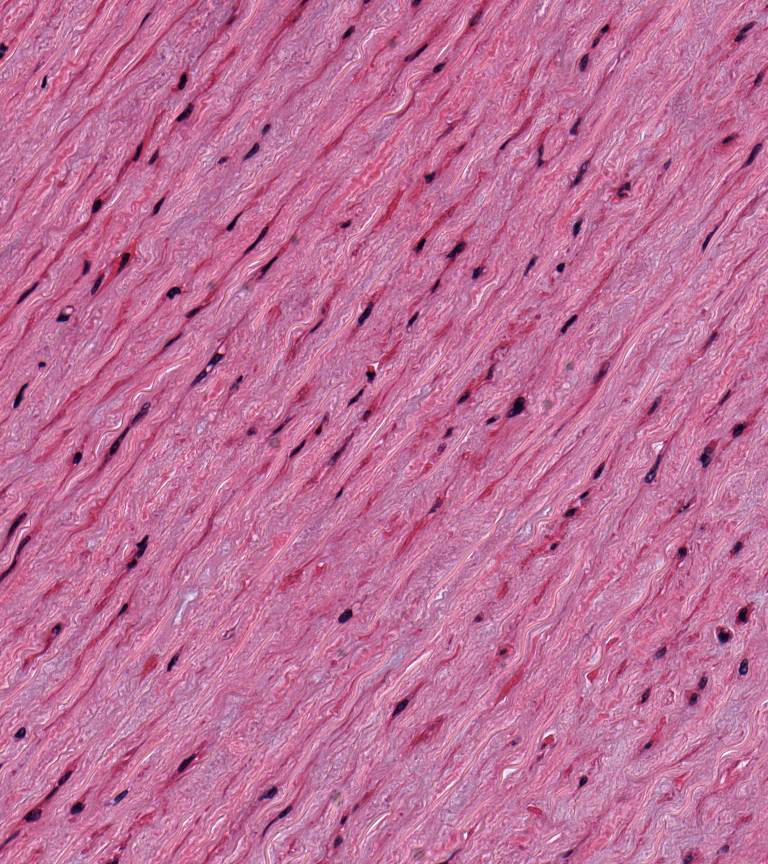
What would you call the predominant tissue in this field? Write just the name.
tunica media of an artery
